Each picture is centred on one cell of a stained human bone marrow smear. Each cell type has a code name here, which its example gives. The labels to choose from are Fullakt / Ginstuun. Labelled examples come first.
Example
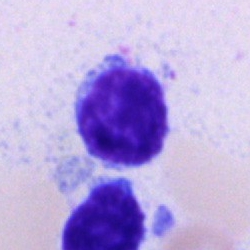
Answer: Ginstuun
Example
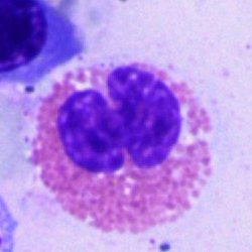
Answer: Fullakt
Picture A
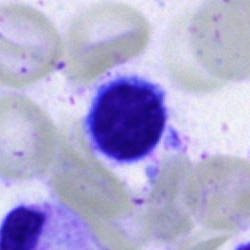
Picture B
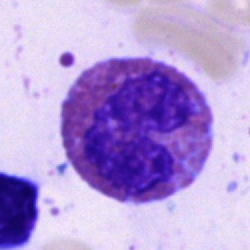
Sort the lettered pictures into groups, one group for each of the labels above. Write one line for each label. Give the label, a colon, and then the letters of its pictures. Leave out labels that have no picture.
Fullakt: B
Ginstuun: A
